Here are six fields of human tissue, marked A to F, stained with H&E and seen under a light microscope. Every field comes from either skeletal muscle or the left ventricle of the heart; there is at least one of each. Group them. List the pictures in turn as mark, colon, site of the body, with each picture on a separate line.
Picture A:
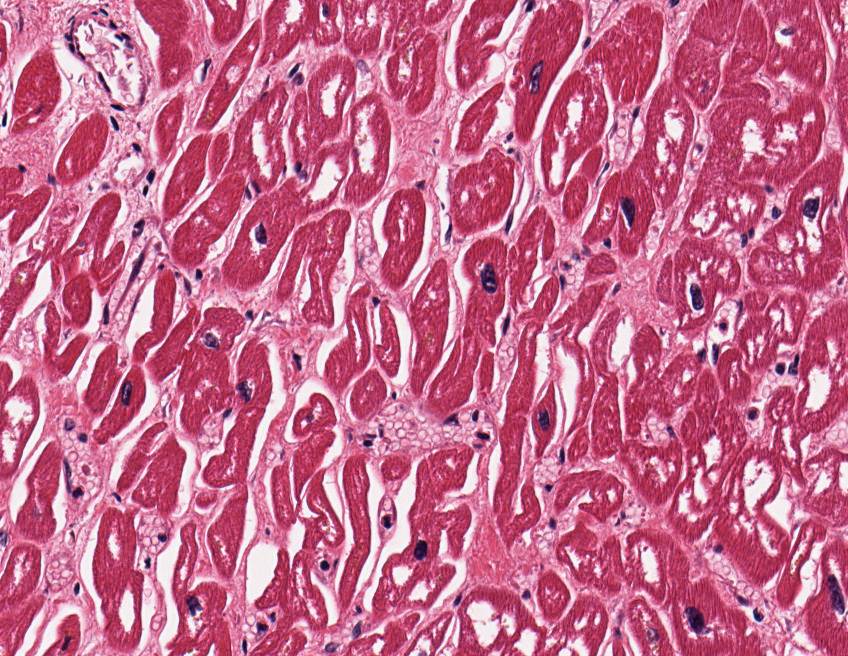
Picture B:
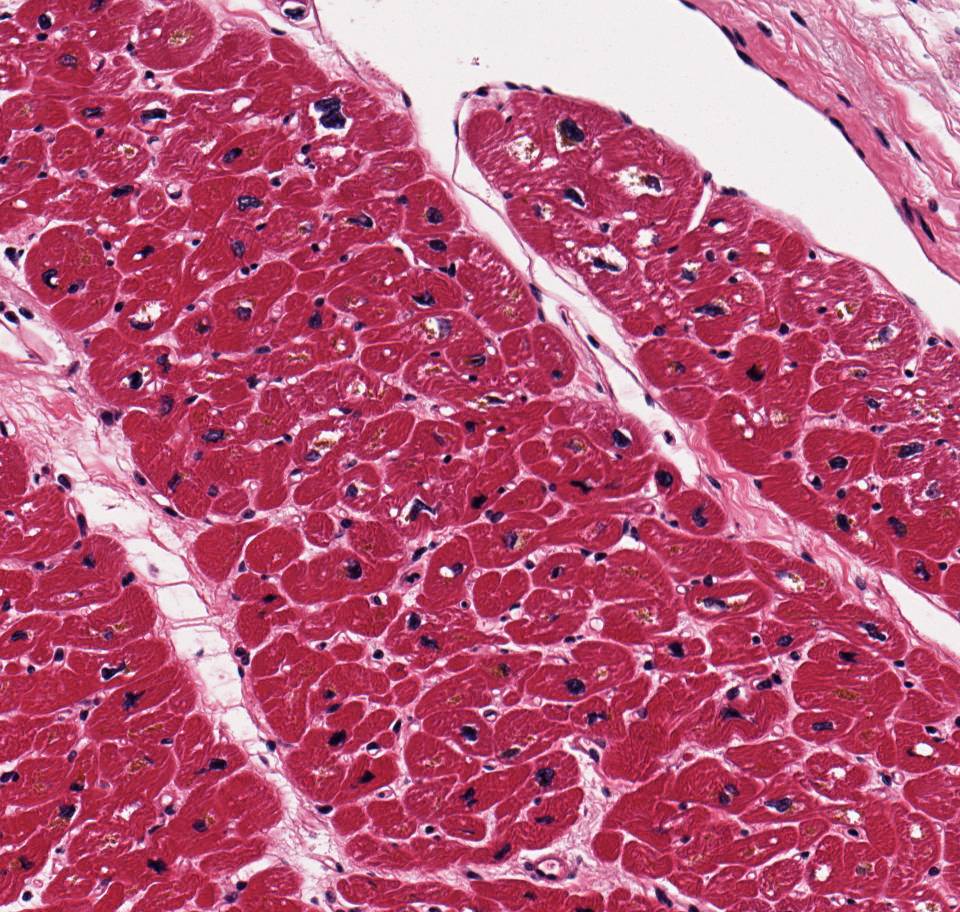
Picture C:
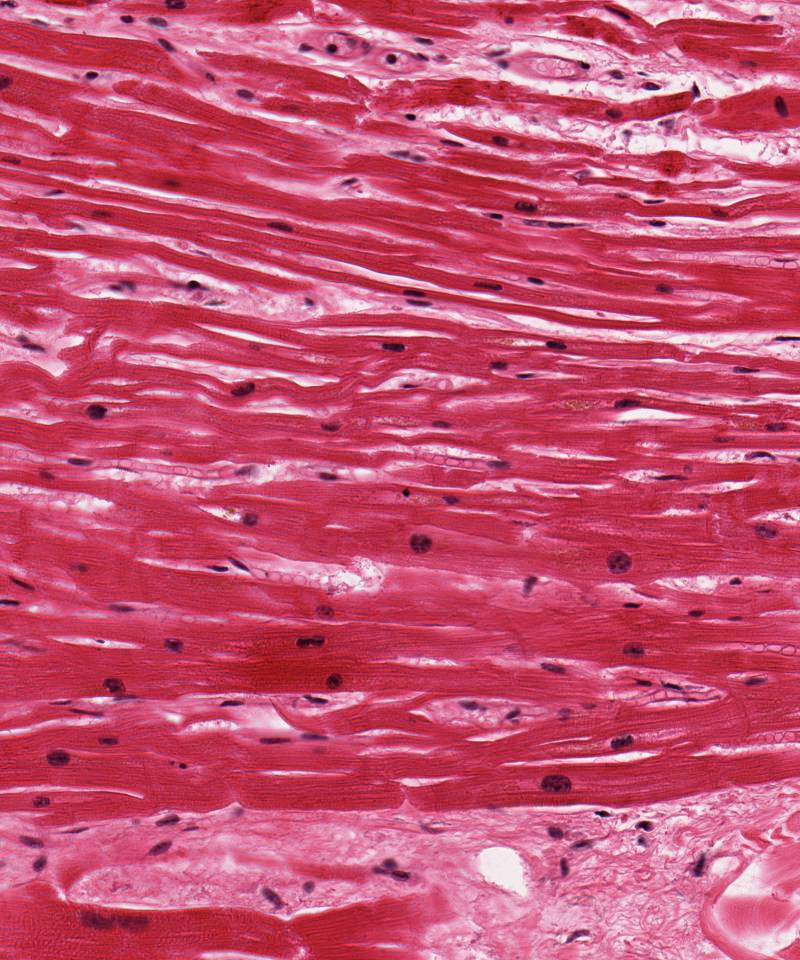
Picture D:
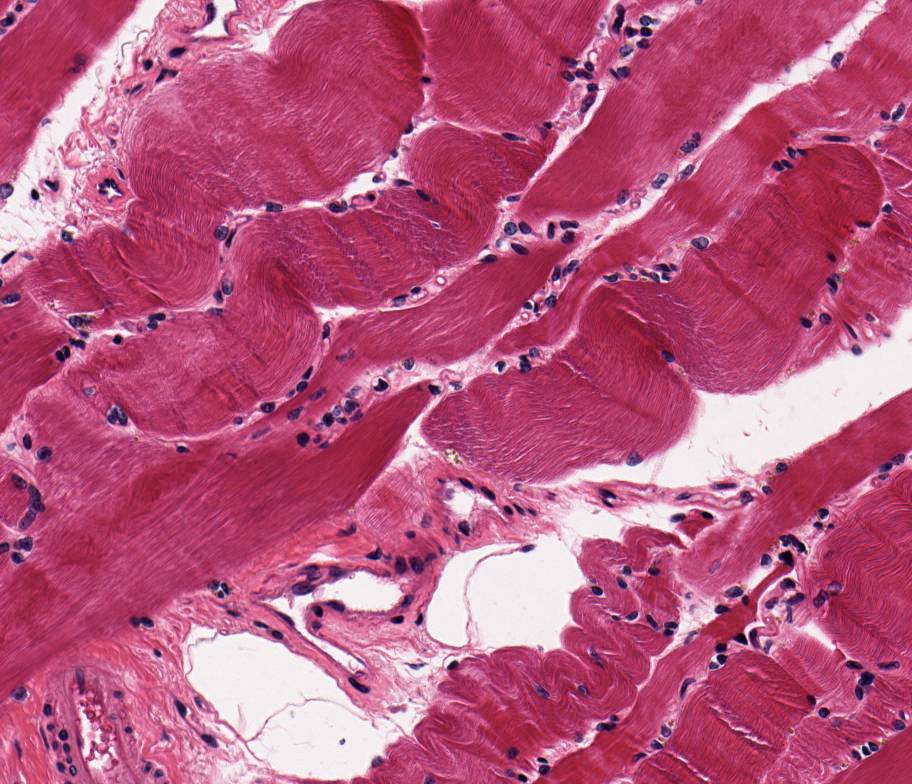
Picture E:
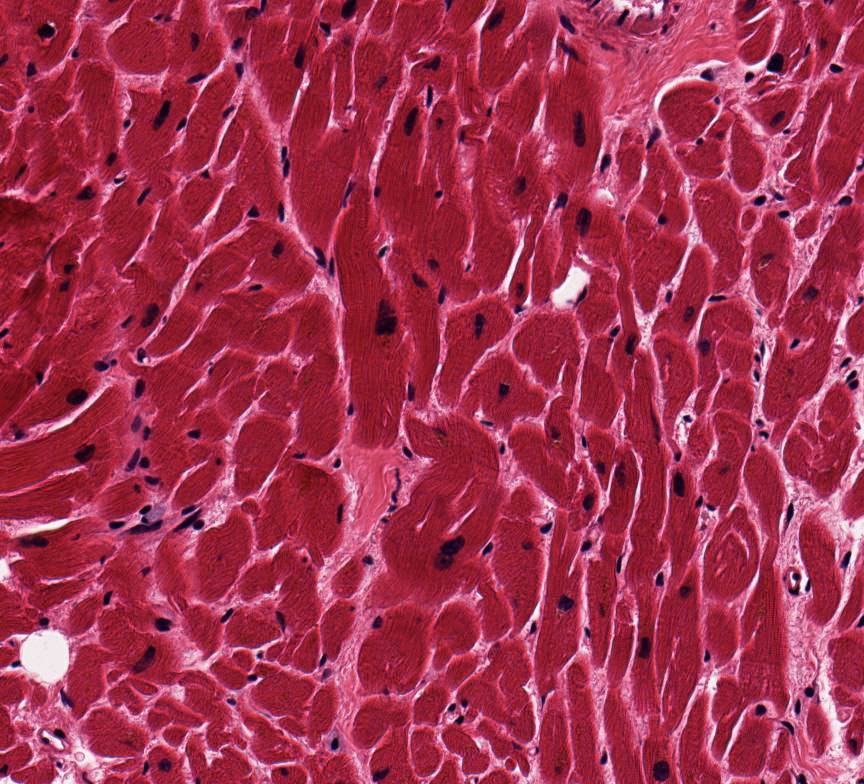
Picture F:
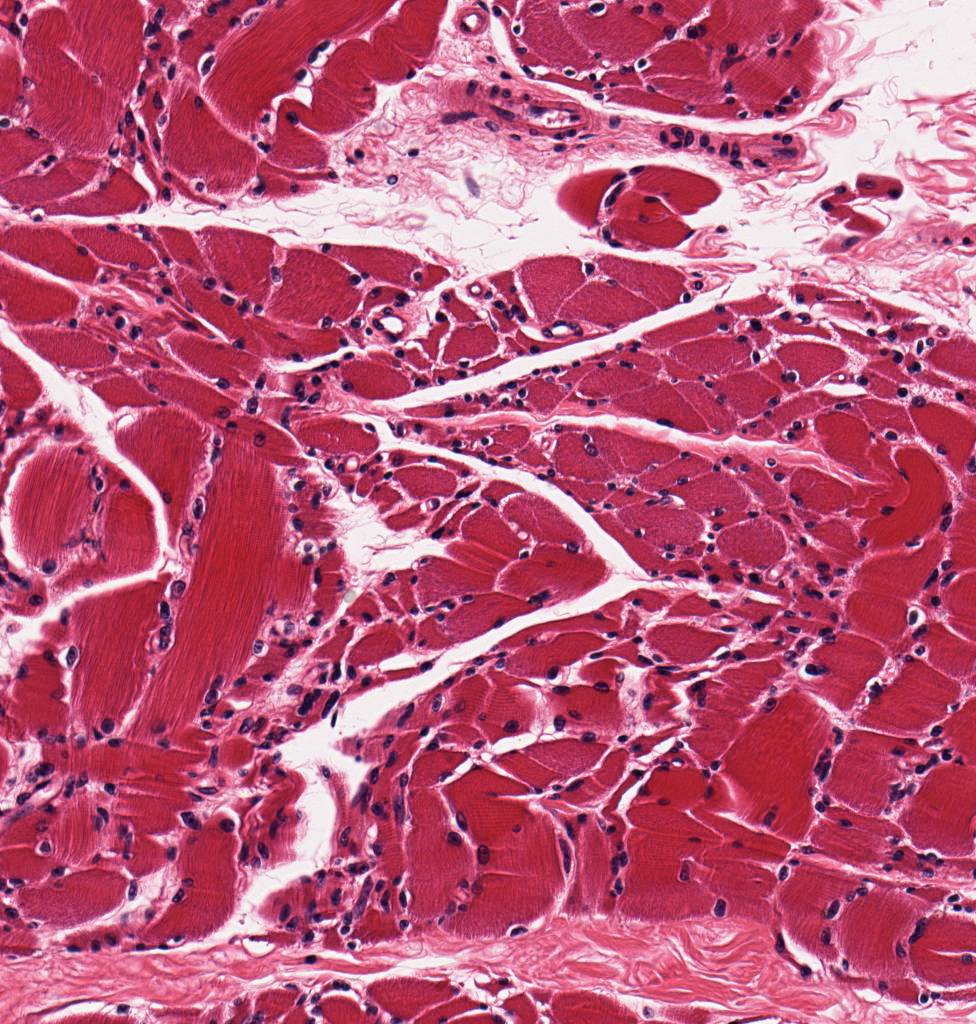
A: left ventricle of the heart
B: left ventricle of the heart
C: left ventricle of the heart
D: skeletal muscle
E: left ventricle of the heart
F: skeletal muscle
